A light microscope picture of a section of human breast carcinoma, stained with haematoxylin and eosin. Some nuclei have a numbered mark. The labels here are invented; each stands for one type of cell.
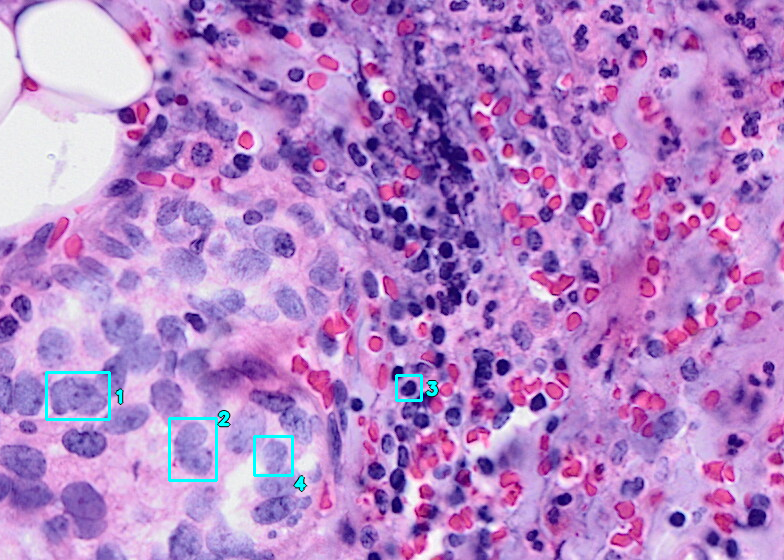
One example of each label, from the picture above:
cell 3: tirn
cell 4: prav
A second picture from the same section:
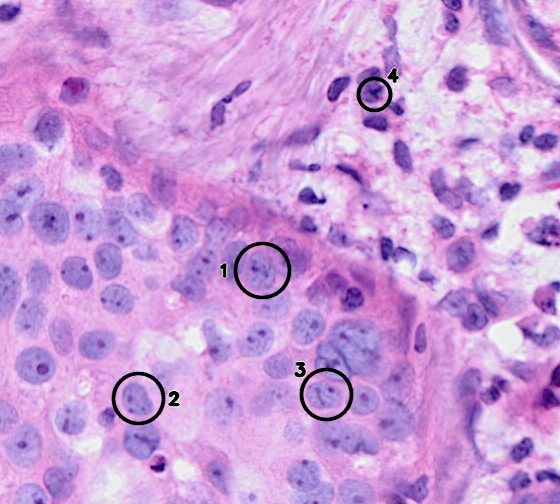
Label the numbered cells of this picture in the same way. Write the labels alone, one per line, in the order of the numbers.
prav
prav
prav
tirn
